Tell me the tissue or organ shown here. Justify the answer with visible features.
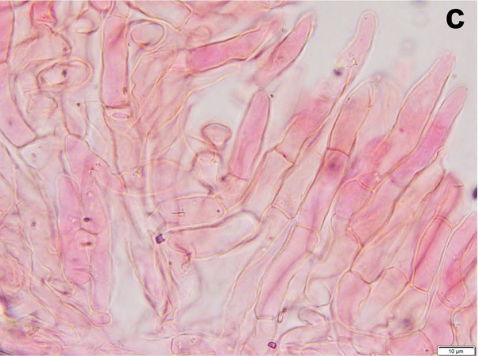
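Elongated, septate, cylindrical hyphal cells lie side by side in a loose palisade. Terminal cells have rounded tips. On this evidence: Pileipellis.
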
